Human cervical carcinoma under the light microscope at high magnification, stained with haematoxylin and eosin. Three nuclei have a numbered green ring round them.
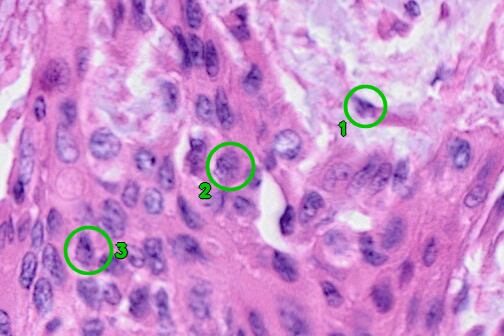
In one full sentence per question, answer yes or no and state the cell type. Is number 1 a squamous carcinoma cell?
No, the cell labelled number 1 is not a squamous carcinoma cell; it is a fibroblast.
